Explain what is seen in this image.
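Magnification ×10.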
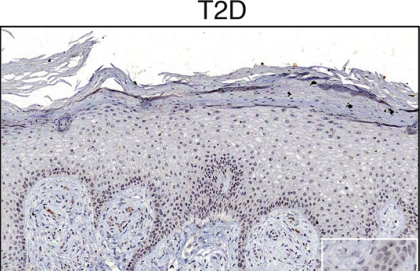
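This is skin with a stratified epidermis over dermis, with rete ridges reaching down between dermal papillae. The epidermal cells show blue-grey nuclei throughout the layers with little brown colour. A loose, flaky, layered cover lies on the surface of the epidermis, and the papillae below hold pale connective tissue with scattered nuclei.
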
